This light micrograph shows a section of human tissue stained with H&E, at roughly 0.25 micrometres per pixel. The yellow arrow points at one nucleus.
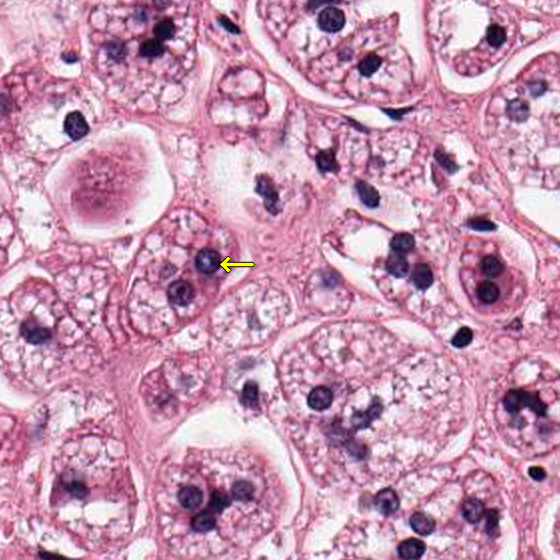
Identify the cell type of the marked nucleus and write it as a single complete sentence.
The marked nucleus is one that belongs to an adrenal cortical cell.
